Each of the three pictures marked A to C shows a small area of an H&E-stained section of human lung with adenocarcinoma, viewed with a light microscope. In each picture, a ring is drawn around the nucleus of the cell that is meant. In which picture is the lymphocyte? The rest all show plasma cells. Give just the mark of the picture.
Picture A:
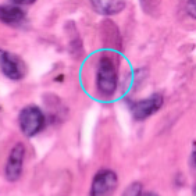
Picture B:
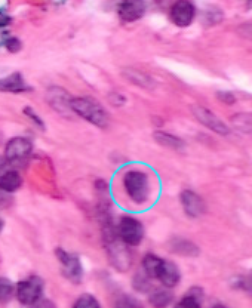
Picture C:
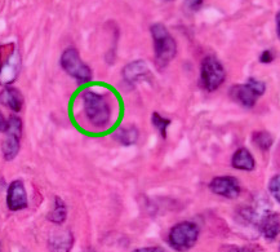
B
